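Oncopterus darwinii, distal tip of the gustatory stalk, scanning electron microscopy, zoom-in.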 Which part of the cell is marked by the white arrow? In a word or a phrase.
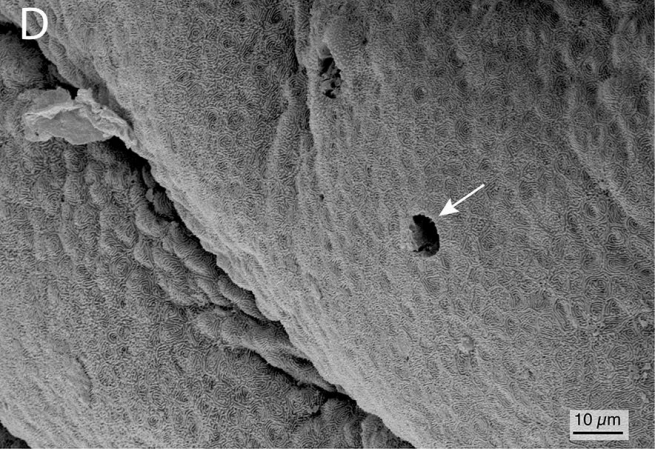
Goblet cell opening.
